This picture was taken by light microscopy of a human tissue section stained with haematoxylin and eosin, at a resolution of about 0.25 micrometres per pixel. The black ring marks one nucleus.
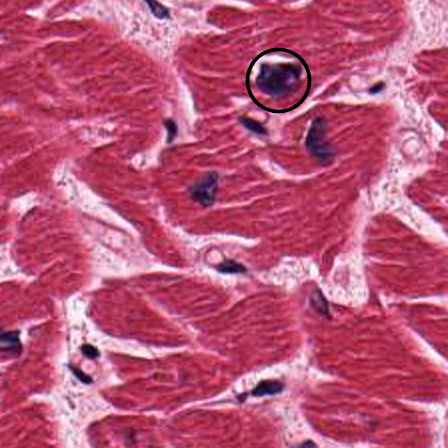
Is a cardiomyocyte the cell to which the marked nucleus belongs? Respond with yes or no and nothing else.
yes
